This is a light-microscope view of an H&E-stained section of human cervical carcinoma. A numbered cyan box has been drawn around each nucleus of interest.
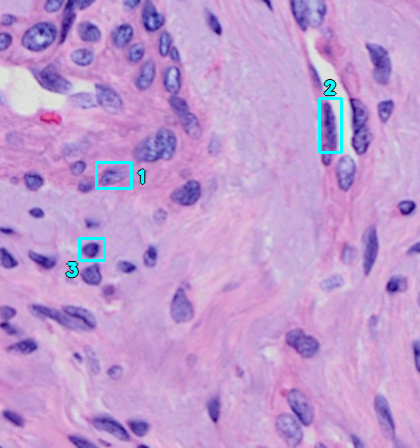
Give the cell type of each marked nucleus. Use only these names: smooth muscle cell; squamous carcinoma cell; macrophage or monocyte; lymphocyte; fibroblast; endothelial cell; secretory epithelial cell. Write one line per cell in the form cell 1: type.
cell 1: smooth muscle cell
cell 2: endothelial cell
cell 3: fibroblast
